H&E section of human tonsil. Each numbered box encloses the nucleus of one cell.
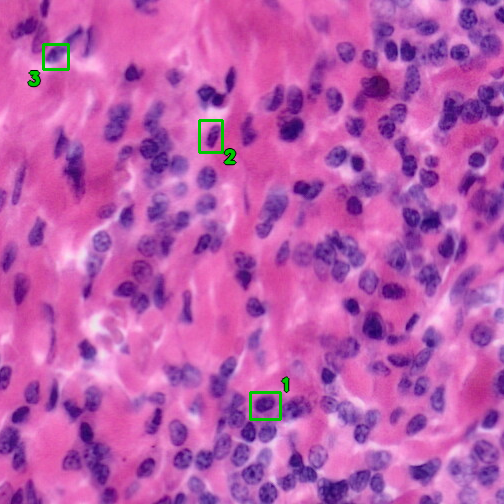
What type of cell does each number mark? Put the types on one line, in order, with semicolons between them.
plasma cell; mast cell; mast cell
